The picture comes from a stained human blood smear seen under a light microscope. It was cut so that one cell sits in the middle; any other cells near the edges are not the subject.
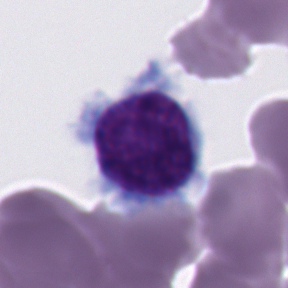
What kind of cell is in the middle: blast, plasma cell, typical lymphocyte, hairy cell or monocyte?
hairy cell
